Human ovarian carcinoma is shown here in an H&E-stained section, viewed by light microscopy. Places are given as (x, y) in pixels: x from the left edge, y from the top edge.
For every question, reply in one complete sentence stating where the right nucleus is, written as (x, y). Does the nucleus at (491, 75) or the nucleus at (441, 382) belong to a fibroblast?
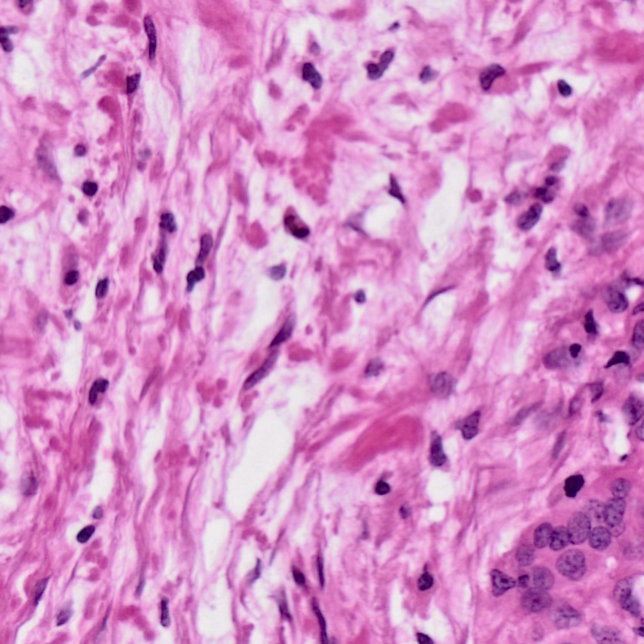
The nucleus that sits at (441, 382) is the nucleus of a fibroblast.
